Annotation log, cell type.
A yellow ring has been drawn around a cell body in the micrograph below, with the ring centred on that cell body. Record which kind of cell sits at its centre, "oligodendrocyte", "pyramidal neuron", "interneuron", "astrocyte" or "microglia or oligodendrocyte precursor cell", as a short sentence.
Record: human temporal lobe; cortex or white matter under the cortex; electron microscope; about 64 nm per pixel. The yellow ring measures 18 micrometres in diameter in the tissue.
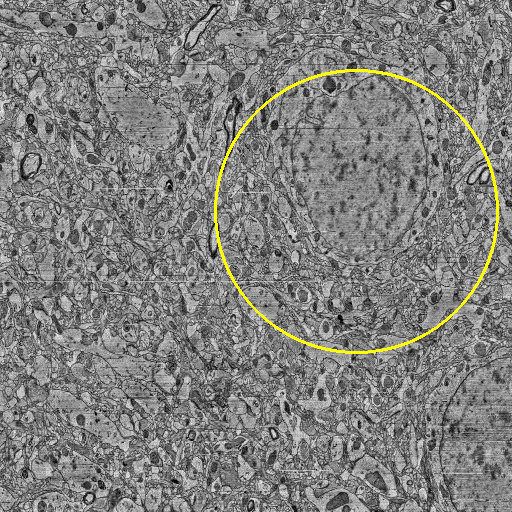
The cell at the centre of this ring is an interneuron.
